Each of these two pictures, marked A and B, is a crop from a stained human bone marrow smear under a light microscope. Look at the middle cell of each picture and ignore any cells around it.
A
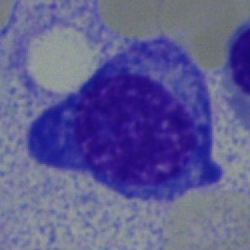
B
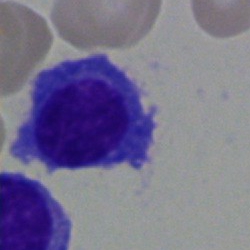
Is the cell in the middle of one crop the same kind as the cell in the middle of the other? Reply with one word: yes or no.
yes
